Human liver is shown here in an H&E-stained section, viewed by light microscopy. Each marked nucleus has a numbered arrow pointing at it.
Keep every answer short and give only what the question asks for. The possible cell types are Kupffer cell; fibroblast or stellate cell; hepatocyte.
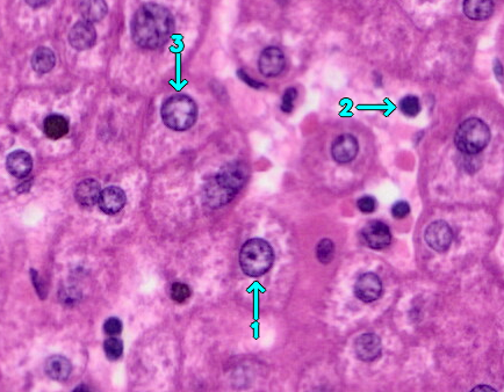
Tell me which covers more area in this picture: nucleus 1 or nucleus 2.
1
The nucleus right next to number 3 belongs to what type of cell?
Kupffer cell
